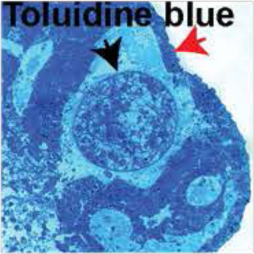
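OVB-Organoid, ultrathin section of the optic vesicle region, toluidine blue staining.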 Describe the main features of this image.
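The lens is a well-defined round body stained in blue, set within a paler cavity. The surrounding tissue is densely blue with rounded cell clusters. A thin continuous cell layer covers the outer surface beside the cavity.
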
